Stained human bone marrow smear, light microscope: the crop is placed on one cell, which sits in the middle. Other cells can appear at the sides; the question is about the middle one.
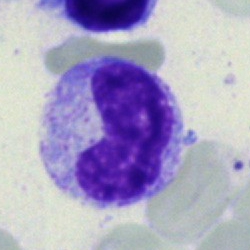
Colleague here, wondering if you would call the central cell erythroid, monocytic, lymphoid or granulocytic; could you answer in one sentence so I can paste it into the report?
The cell found in the middle of this crop is granulocytic in lineage.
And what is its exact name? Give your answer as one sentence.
This particular crop is centered on a band neutrophil.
